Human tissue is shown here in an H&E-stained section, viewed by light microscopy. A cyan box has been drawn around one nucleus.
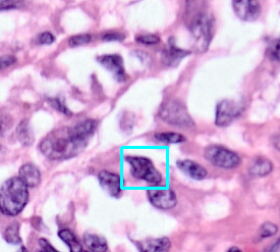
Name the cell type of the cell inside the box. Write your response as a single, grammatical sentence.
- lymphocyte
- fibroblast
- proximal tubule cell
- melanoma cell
So far as cell type goes, the cell inside the box is a melanoma cell.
